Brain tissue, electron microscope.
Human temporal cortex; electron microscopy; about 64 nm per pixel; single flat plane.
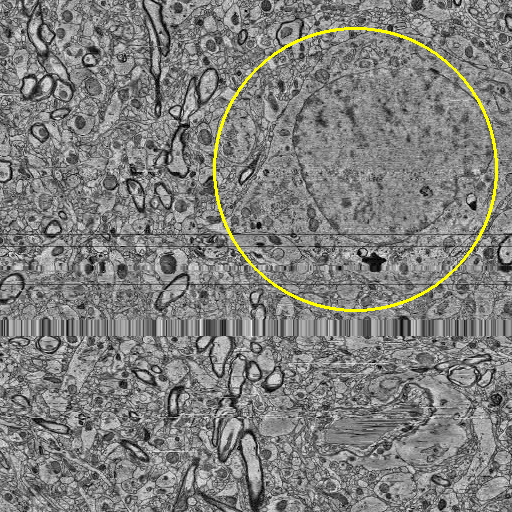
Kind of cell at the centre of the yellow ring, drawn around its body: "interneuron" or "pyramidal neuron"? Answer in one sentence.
The ring's centre falls on an interneuron.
